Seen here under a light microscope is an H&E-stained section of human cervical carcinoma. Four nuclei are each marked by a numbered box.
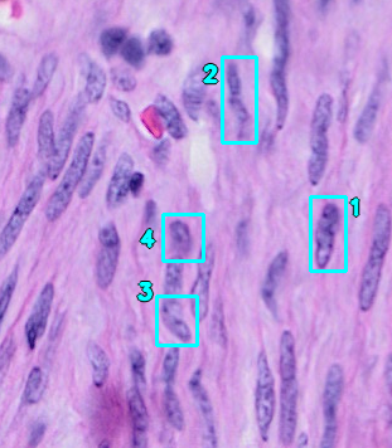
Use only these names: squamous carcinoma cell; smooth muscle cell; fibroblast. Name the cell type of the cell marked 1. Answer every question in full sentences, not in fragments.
The cell marked with the number 1 is a smooth muscle cell.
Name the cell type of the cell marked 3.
Cell 3 should be recorded as a smooth muscle cell.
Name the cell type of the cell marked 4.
As for number 4, that cell is a smooth muscle cell.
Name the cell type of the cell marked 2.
Classified as a fibroblast is the cell with the number 2.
